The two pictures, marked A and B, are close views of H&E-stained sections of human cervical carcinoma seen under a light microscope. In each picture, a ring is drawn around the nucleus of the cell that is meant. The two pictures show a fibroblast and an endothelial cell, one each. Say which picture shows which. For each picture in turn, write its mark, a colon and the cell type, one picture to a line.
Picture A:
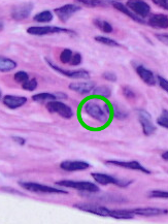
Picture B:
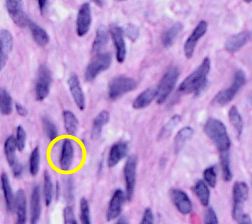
A: endothelial cell
B: fibroblast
